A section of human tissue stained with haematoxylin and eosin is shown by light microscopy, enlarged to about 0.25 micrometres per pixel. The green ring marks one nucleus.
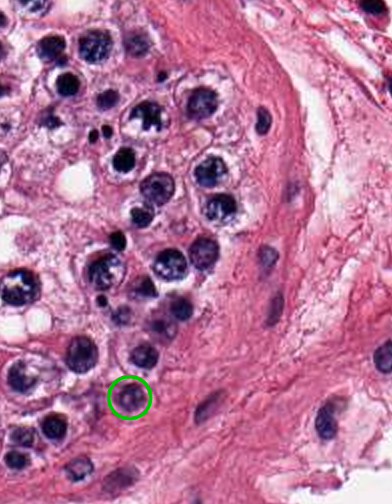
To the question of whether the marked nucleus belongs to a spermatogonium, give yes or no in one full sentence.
Yes, the marked nucleus is part of a spermatogonium.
